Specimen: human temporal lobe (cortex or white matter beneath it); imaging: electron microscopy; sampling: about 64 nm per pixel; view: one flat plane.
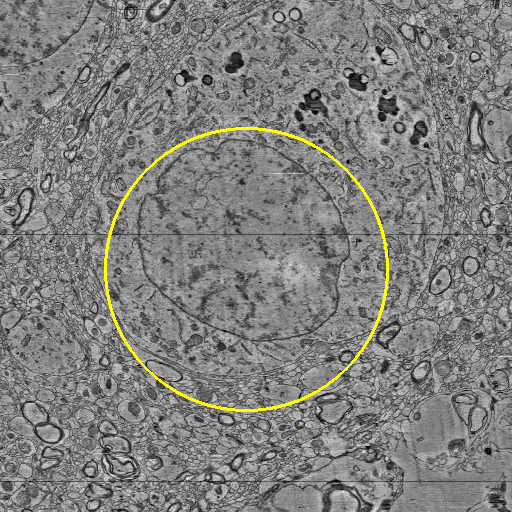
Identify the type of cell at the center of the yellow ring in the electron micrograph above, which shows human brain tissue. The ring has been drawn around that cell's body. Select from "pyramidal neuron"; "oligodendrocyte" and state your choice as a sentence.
The yellow ring is centered on the body of a pyramidal neuron.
